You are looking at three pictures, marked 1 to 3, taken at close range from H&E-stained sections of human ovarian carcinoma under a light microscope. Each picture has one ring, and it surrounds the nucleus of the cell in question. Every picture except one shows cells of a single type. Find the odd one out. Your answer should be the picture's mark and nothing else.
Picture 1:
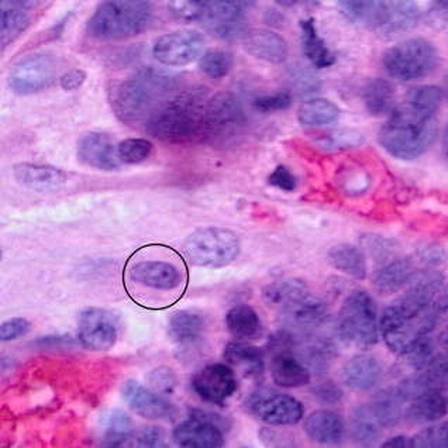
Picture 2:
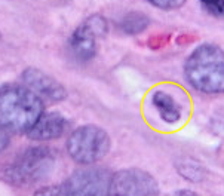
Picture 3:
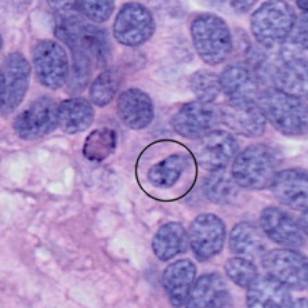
2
